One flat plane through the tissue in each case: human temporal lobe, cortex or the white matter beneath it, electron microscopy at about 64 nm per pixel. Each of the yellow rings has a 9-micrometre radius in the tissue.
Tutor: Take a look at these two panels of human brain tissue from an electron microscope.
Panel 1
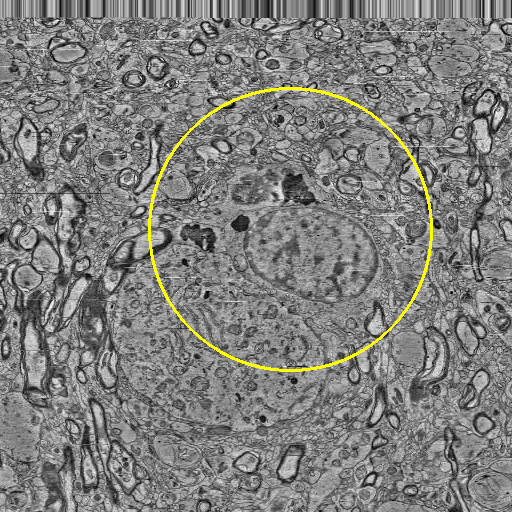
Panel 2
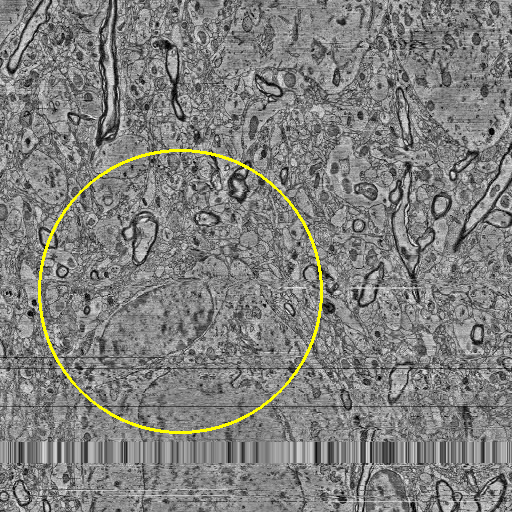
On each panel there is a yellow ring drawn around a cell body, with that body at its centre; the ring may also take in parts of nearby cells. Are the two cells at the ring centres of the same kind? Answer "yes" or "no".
no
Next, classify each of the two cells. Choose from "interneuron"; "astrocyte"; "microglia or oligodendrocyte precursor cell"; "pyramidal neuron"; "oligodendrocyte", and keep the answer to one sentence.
In the first picture it is an oligodendrocyte; in the second it is a microglial cell or oligodendrocyte precursor cell.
